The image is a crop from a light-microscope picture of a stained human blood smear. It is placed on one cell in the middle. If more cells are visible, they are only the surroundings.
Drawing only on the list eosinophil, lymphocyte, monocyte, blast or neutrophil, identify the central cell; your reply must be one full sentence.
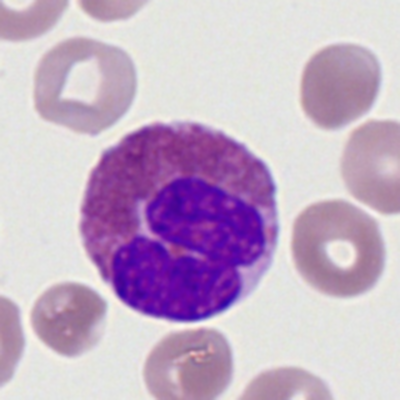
Of the cells in this crop, the central one is an eosinophil.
